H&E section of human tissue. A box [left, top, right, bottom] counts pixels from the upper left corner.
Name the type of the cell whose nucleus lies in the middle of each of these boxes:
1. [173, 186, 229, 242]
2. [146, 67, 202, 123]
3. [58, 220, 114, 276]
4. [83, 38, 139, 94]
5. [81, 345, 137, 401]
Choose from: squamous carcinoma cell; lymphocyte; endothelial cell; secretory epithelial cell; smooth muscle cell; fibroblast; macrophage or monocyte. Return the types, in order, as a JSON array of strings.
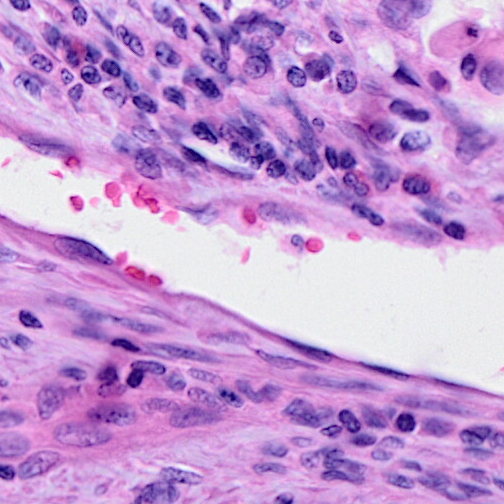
["endothelial cell", "lymphocyte", "endothelial cell", "lymphocyte", "lymphocyte"]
